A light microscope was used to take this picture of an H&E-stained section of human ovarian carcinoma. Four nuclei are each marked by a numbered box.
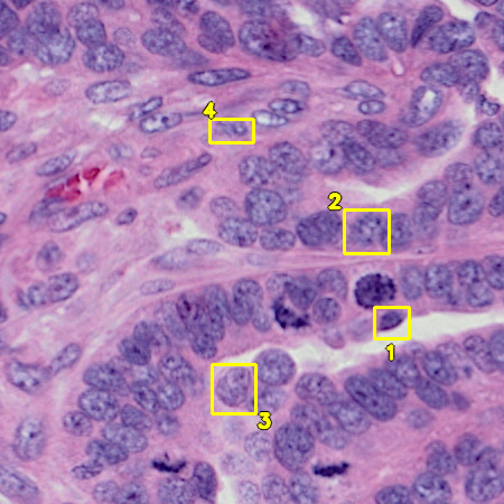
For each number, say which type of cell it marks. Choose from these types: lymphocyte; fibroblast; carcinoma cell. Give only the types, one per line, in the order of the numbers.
carcinoma cell
carcinoma cell
carcinoma cell
fibroblast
